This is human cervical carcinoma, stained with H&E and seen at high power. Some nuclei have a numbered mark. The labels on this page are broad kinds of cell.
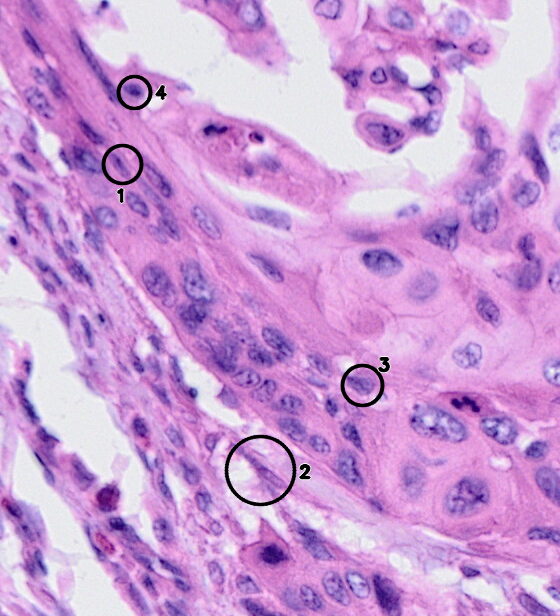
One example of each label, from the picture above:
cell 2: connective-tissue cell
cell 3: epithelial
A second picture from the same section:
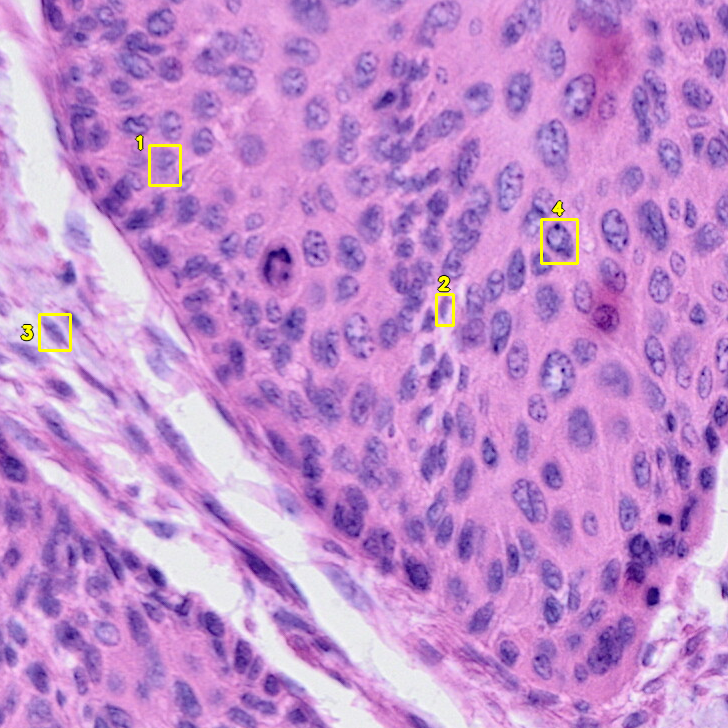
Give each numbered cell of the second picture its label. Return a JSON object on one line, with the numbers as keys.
{"1": "epithelial", "2": "epithelial", "3": "connective-tissue cell", "4": "epithelial"}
